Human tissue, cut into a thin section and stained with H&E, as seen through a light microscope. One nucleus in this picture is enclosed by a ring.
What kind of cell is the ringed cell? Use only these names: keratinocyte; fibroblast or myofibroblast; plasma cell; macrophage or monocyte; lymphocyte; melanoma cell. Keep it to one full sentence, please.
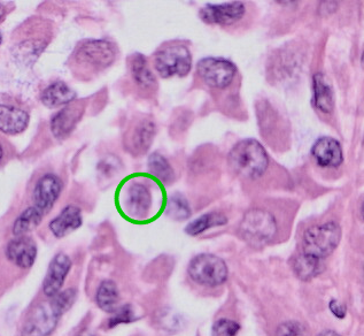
Within the stained tissue, the ringed cell is a melanoma cell.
